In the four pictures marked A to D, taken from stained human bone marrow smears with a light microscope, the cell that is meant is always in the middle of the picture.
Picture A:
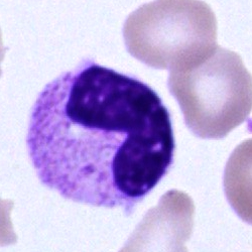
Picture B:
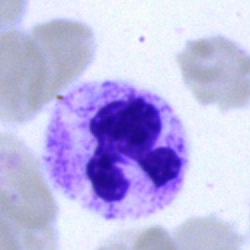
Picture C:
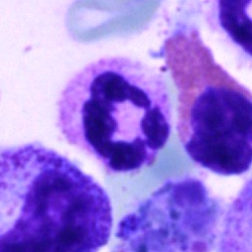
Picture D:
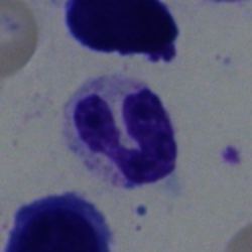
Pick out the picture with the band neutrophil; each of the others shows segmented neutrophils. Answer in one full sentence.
The band neutrophil is the one in picture A.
